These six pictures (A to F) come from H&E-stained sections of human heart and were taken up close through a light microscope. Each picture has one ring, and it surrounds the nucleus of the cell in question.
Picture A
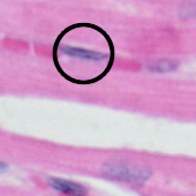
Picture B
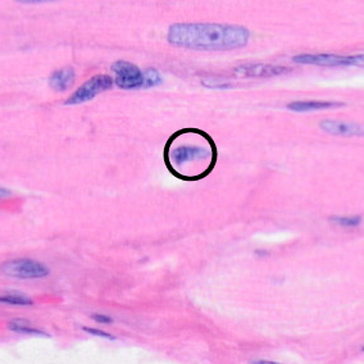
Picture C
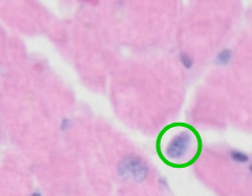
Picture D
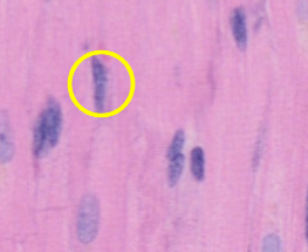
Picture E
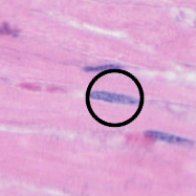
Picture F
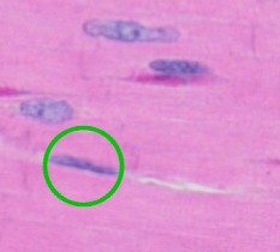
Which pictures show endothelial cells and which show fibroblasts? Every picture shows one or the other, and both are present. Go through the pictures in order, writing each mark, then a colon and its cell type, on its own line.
A: endothelial cell
B: endothelial cell
C: fibroblast
D: endothelial cell
E: fibroblast
F: fibroblast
